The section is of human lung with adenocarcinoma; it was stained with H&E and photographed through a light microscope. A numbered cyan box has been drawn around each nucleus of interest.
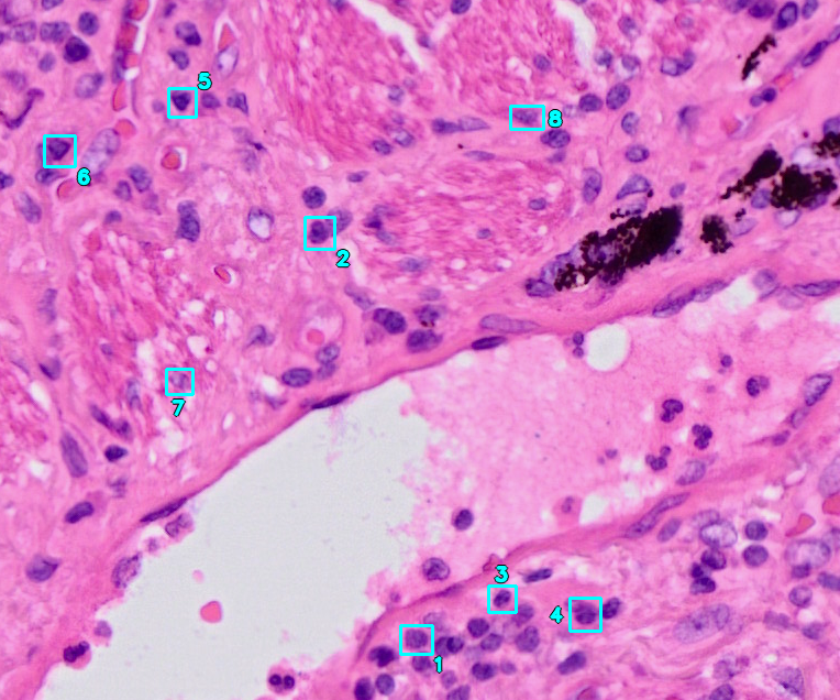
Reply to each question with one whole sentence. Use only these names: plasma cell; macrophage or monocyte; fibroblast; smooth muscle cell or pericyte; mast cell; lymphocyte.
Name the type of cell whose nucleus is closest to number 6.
The nucleus nearest to number 6 is that of a fibroblast.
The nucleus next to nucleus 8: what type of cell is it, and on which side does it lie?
It is a mast cell, whose nucleus lies below and to the right of nucleus 8.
